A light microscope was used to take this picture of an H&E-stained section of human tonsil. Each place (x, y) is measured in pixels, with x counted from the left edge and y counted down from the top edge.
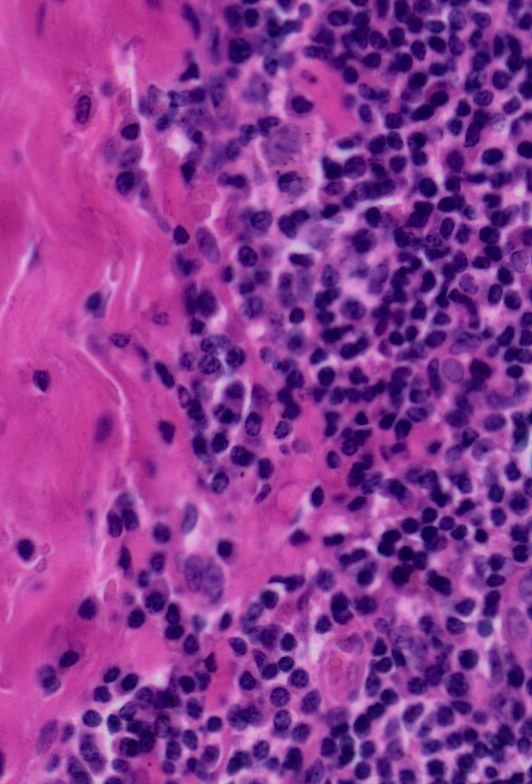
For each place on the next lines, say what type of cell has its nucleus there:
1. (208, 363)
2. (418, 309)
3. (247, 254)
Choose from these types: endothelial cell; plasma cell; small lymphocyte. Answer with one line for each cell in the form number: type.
1: plasma cell
2: small lymphocyte
3: plasma cell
